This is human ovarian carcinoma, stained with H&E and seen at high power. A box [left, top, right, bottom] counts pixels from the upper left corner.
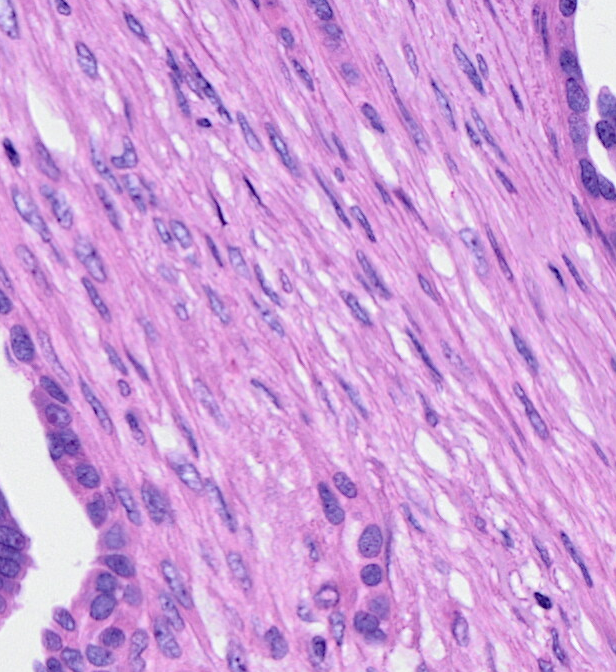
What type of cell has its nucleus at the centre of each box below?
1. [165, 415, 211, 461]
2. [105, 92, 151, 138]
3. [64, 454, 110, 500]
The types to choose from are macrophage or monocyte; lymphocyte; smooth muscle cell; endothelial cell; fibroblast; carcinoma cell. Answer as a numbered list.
1. fibroblast
2. fibroblast
3. carcinoma cell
